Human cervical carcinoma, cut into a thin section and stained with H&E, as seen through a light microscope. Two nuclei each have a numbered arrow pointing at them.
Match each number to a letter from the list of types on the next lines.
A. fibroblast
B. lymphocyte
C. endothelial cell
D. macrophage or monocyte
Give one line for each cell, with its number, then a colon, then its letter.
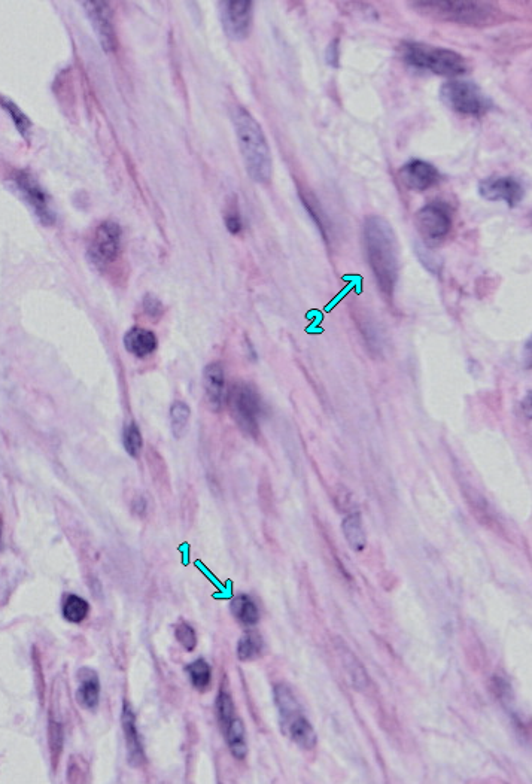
1: B
2: A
